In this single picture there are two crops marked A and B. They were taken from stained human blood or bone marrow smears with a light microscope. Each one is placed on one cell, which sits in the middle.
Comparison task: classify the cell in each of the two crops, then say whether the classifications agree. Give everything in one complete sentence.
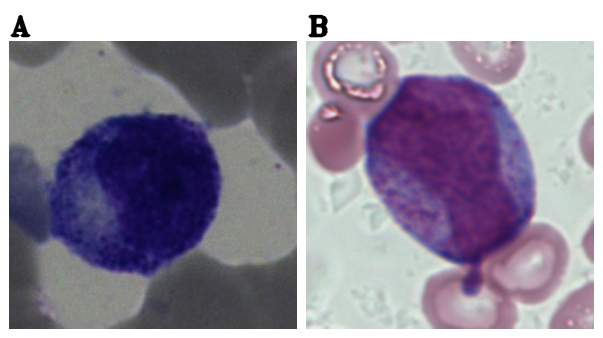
Yes, both crops show promyelocytes in the middle.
